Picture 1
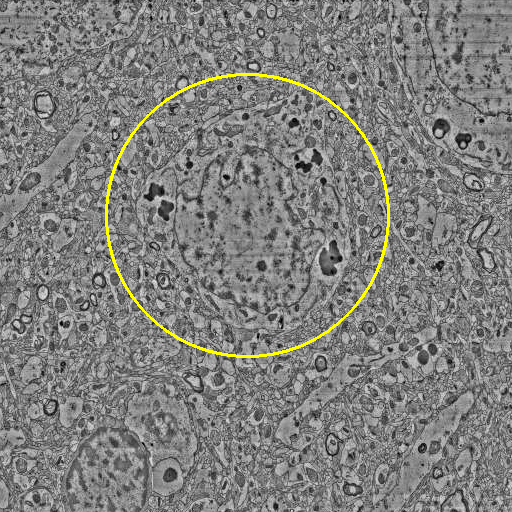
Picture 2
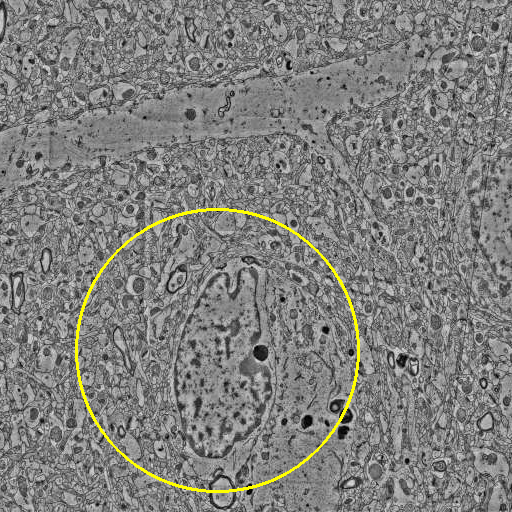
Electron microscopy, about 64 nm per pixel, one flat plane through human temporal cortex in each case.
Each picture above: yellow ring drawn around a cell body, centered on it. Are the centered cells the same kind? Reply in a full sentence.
No, the two cells are two kinds of cell.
